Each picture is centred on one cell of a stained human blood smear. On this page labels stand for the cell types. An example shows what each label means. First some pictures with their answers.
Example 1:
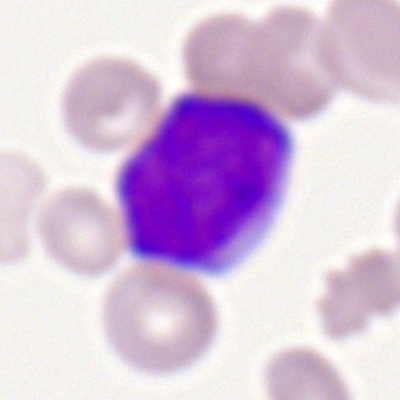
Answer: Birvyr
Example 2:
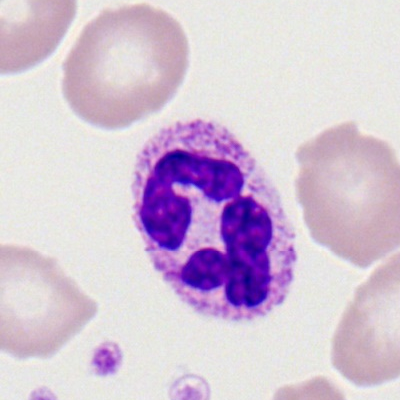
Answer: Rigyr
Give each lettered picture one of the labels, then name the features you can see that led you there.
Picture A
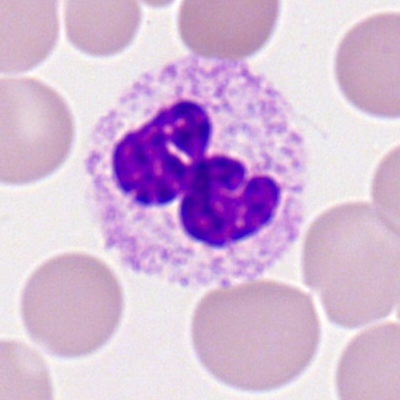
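Label: Rigyr. The cytoplasm is abundant and pale pinkish-lilac.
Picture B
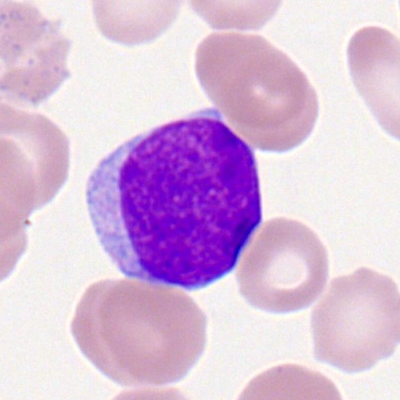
Label: Birvyr. The nucleus fills most of the cell and sits toward its right side.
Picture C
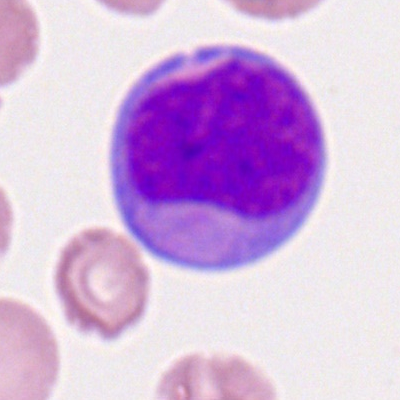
Label: Birvyr. The nucleus fills most of the cell and lies toward its upper part.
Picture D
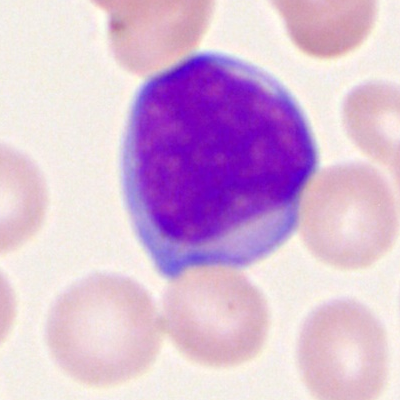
Label: Birvyr. The nucleus fills most of the cell.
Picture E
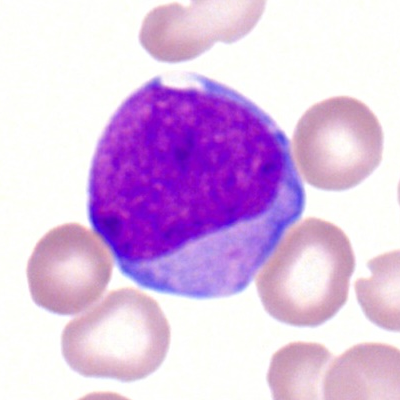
Label: Birvyr. The nucleus fills most of the cell, leaving a crescent of cytoplasm toward the lower right.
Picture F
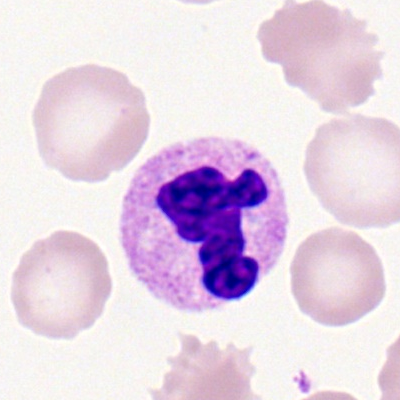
Label: Rigyr. The nucleus is divided into separate lobes joined by narrower bands of chromatin.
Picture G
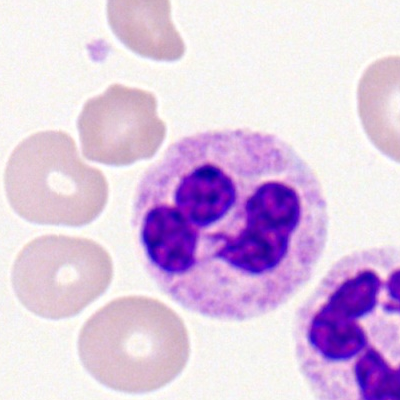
Label: Rigyr. The cytoplasm is plentiful and pale pinkish-lilac.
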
